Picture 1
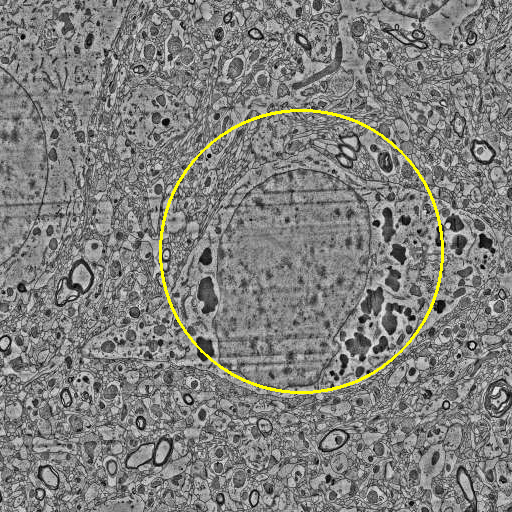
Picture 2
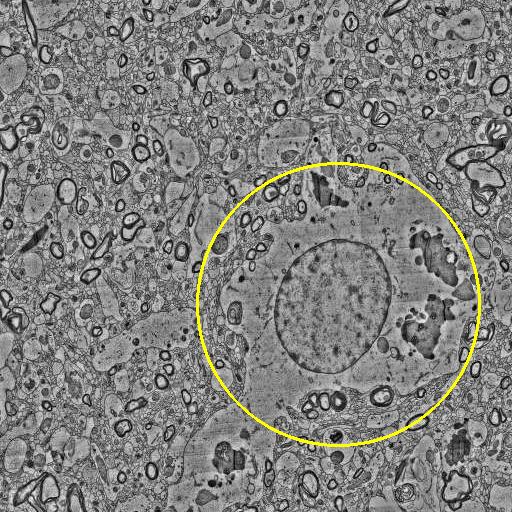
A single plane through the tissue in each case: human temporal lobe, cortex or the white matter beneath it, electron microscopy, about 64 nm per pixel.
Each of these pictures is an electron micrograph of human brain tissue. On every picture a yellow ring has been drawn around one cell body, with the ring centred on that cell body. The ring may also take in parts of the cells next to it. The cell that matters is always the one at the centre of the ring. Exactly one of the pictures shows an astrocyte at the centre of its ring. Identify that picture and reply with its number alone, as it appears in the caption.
2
